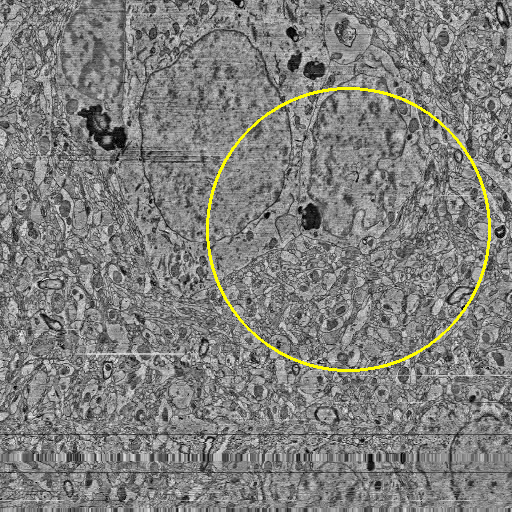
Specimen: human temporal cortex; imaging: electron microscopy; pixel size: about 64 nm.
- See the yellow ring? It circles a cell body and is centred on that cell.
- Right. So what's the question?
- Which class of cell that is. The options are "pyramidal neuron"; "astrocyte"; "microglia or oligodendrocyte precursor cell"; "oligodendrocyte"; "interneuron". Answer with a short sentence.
The centre of the ring holds an interneuron.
